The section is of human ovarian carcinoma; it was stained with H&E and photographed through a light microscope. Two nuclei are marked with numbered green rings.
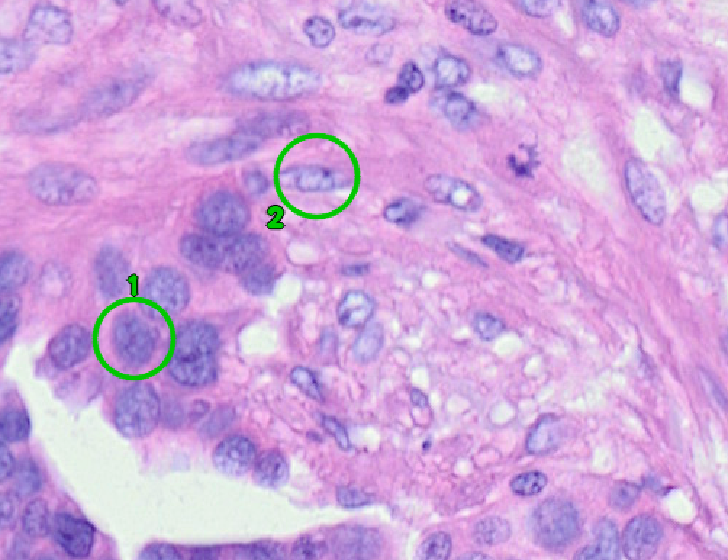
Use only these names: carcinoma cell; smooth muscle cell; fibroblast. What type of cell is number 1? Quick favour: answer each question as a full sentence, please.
That cell with number 1 is a carcinoma cell.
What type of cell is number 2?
The cell pointed out as number 2 is a fibroblast.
